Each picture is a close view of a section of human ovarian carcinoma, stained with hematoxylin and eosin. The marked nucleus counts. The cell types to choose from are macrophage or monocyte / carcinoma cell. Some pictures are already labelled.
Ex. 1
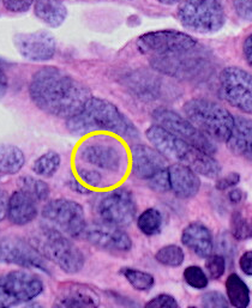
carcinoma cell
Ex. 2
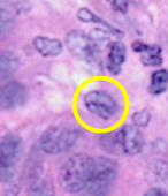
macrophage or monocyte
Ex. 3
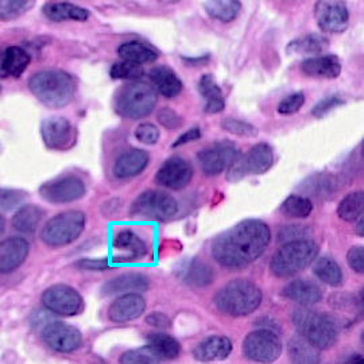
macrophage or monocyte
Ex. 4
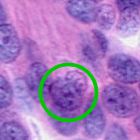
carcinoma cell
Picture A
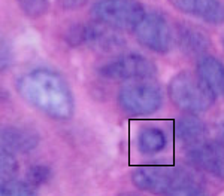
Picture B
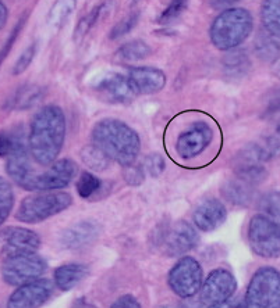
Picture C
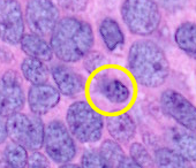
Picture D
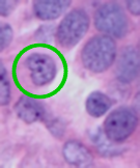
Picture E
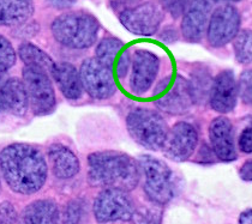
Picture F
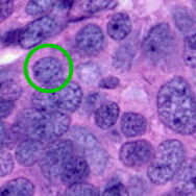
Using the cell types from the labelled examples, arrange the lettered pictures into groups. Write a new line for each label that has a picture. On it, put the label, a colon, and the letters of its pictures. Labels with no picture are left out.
macrophage or monocyte: A, B, C, D
carcinoma cell: E, F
